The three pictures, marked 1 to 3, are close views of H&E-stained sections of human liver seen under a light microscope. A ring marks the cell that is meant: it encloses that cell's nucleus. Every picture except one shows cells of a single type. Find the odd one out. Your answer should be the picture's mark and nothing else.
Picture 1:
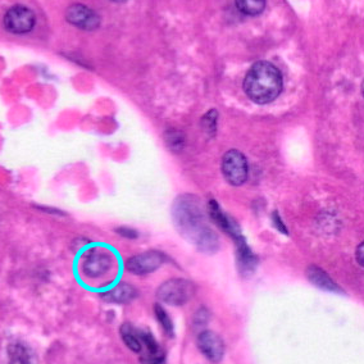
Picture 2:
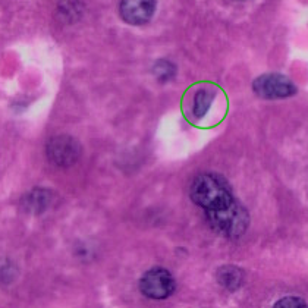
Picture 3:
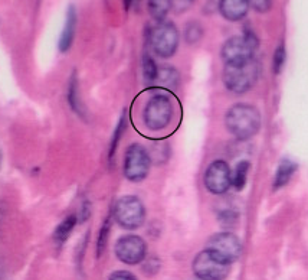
2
